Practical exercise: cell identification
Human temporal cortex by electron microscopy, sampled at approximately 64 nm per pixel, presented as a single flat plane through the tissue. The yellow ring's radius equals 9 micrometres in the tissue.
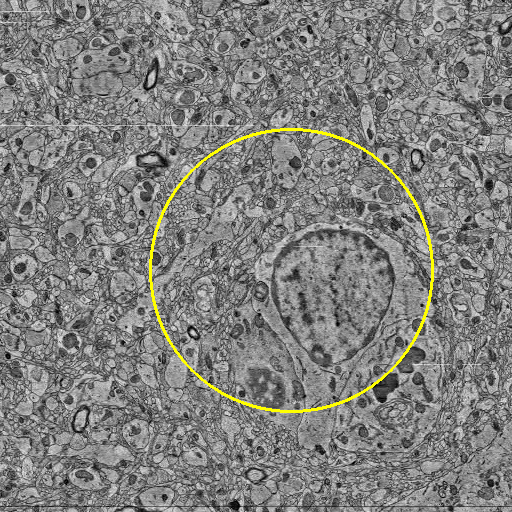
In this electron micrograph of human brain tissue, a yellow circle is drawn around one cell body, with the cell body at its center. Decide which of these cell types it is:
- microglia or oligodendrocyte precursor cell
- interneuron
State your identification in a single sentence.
The ringed cell is a microglial cell or oligodendrocyte precursor cell.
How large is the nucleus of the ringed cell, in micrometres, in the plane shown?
In this plane, the nucleus of the cell at the centre of the ring measures about 9 by 8 micrometres.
